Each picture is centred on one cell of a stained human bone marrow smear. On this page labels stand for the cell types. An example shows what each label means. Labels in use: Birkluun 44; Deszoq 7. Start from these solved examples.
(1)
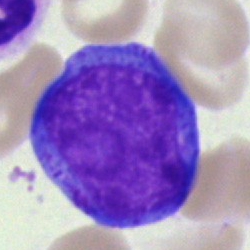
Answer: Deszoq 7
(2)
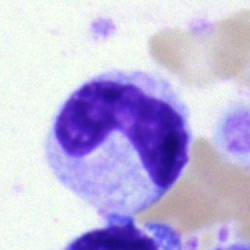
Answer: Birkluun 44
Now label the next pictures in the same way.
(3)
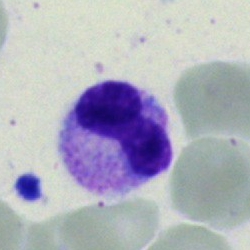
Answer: Birkluun 44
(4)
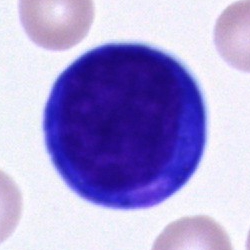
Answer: Deszoq 7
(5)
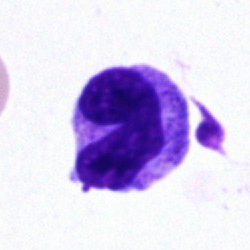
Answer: Birkluun 44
